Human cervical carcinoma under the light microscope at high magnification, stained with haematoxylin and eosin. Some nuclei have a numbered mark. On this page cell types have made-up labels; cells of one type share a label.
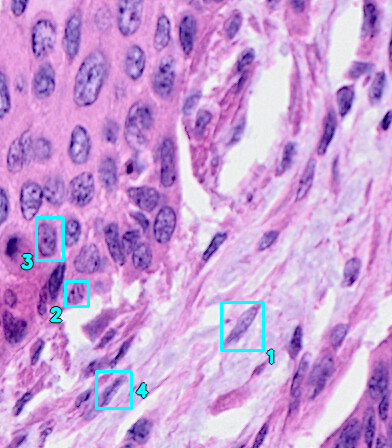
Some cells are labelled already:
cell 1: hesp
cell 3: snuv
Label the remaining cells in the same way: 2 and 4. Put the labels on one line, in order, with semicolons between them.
snuv; hesp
